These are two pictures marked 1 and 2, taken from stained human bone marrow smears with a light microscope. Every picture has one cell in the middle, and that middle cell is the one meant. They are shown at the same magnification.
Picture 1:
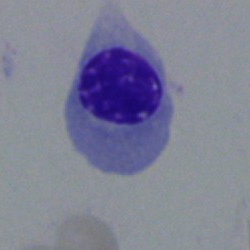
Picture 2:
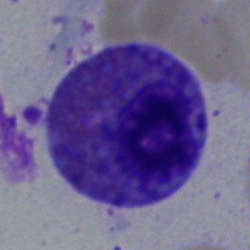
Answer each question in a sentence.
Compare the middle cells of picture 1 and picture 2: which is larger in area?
It is the cell in picture 2, about 1.5 times as large in area as the cell in picture 1.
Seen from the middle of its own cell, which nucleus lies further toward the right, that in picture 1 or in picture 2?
In picture 2 the nucleus is shifted more toward the right.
